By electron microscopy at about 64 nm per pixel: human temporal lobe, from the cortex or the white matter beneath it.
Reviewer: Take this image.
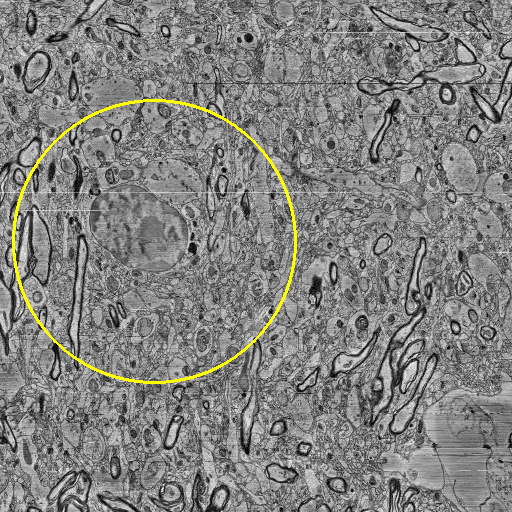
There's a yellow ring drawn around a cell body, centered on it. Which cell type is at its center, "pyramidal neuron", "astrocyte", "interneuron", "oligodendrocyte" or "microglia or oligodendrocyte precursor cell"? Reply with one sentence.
At the center of the yellow ring is a microglial cell or oligodendrocyte precursor cell.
